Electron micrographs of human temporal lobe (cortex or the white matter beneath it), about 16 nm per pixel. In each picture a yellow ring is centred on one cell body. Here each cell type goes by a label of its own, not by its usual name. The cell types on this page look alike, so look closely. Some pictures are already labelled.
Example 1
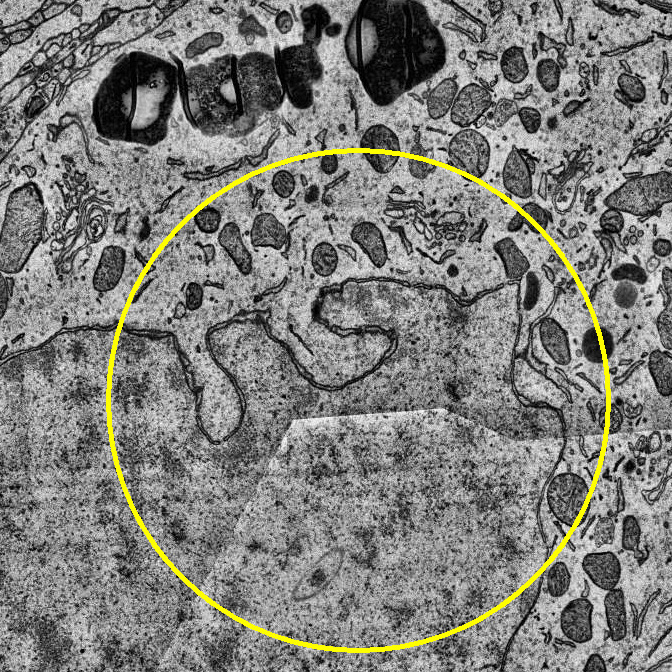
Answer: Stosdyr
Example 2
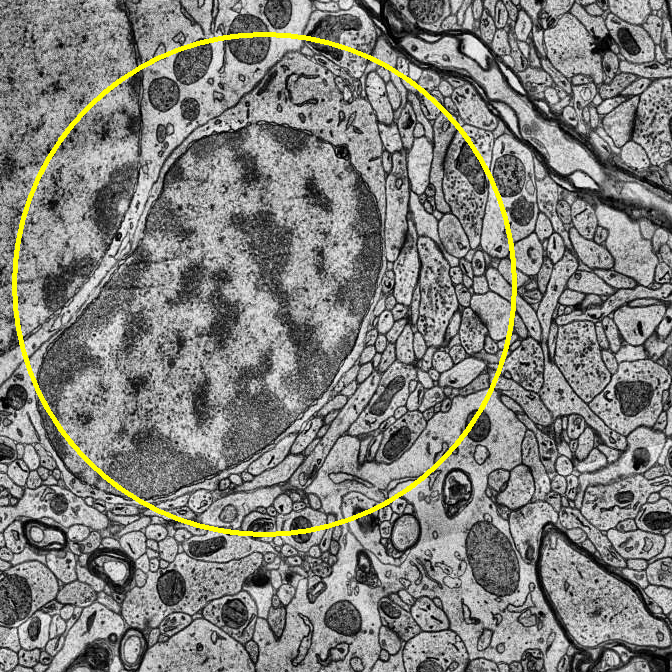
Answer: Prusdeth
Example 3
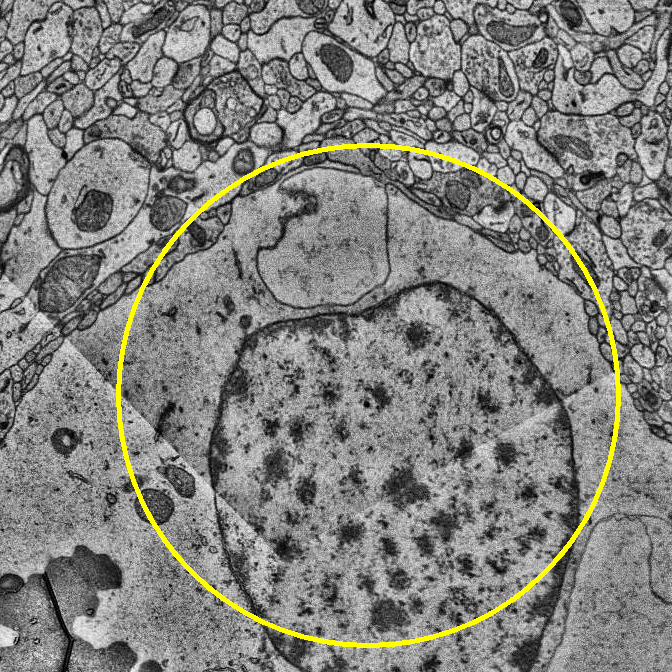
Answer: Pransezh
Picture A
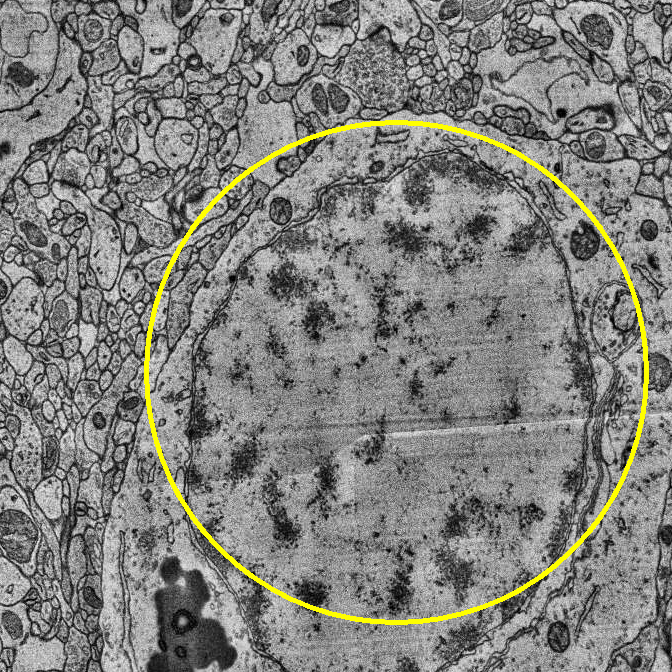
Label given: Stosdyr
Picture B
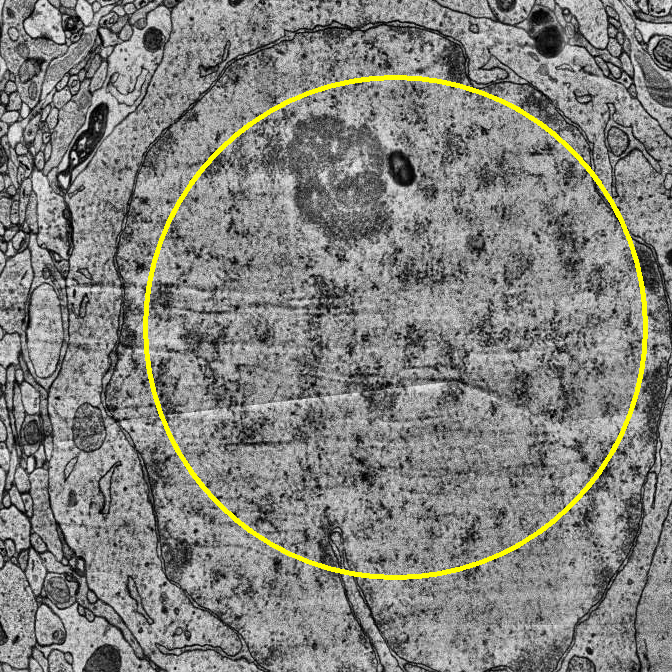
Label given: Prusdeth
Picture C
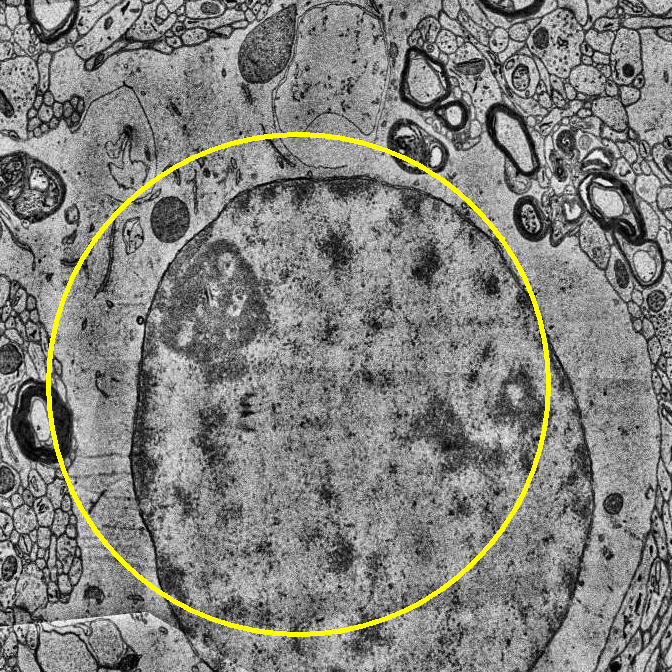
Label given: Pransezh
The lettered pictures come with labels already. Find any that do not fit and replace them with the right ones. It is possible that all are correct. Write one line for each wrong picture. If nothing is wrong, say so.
B: not Prusdeth but Stosdyr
